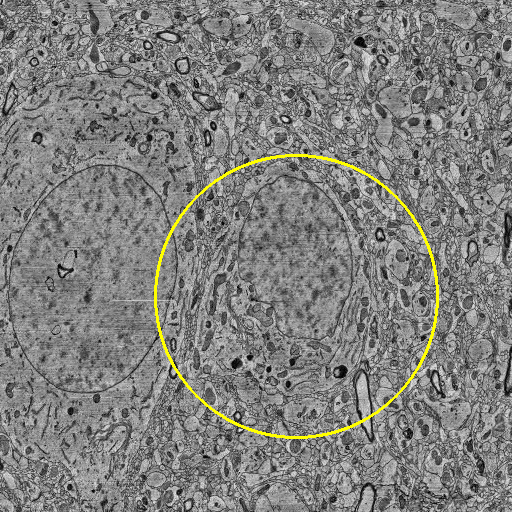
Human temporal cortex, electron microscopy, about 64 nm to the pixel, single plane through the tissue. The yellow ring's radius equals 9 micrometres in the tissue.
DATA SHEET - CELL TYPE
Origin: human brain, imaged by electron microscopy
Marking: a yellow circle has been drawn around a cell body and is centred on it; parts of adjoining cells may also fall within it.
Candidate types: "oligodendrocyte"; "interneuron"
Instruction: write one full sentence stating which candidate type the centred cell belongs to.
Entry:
The cell body at the centre of the yellow ring in this micrograph belongs to an interneuron.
